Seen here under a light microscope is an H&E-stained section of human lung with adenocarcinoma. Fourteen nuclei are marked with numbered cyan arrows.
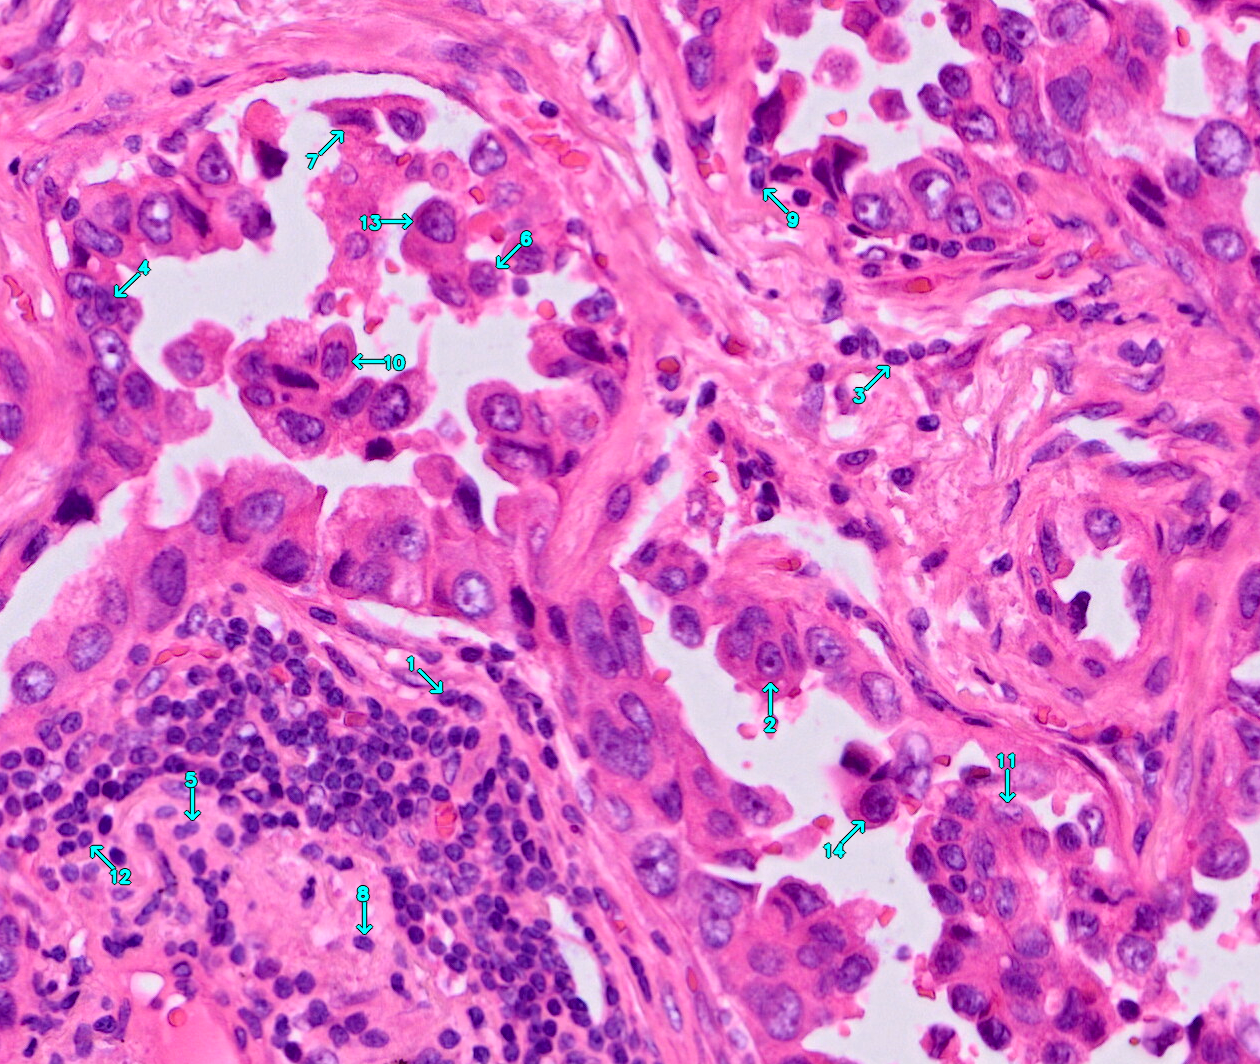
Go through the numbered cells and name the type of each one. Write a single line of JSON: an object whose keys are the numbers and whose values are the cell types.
{"1": "lymphocyte", "2": "carcinoma cell", "3": "lymphocyte", "4": "carcinoma cell", "5": "lymphocyte", "6": "carcinoma cell", "7": "carcinoma cell", "8": "lymphocyte", "9": "lymphocyte", "10": "carcinoma cell", "11": "carcinoma cell", "12": "lymphocyte", "13": "carcinoma cell", "14": "carcinoma cell"}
